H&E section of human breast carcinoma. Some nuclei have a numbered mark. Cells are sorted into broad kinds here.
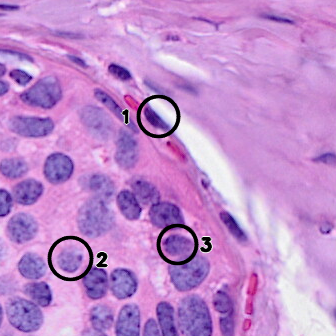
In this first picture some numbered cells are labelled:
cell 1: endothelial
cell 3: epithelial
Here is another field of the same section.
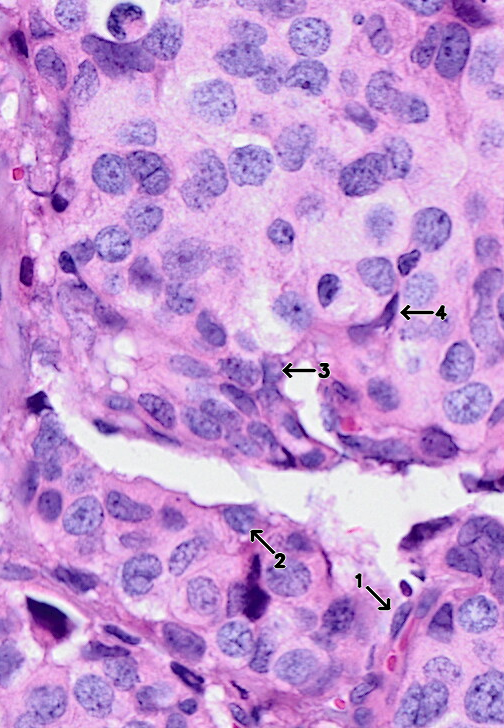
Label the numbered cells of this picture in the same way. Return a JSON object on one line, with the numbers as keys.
{"1": "endothelial", "2": "epithelial", "3": "epithelial", "4": "epithelial"}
